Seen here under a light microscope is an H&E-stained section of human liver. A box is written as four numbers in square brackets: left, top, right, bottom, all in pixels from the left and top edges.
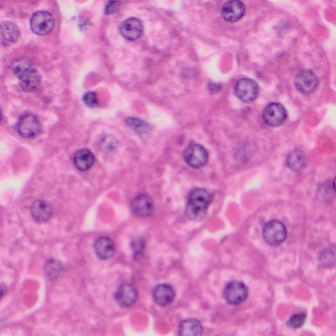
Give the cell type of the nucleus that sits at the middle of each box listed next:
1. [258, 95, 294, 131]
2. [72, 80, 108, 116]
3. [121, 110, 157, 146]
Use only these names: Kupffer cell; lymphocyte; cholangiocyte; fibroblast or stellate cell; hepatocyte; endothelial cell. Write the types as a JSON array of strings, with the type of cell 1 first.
["hepatocyte", "lymphocyte", "Kupffer cell"]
